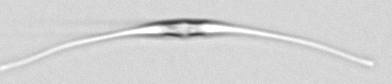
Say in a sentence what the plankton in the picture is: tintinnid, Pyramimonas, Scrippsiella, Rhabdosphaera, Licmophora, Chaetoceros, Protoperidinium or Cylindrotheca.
This is Cylindrotheca.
